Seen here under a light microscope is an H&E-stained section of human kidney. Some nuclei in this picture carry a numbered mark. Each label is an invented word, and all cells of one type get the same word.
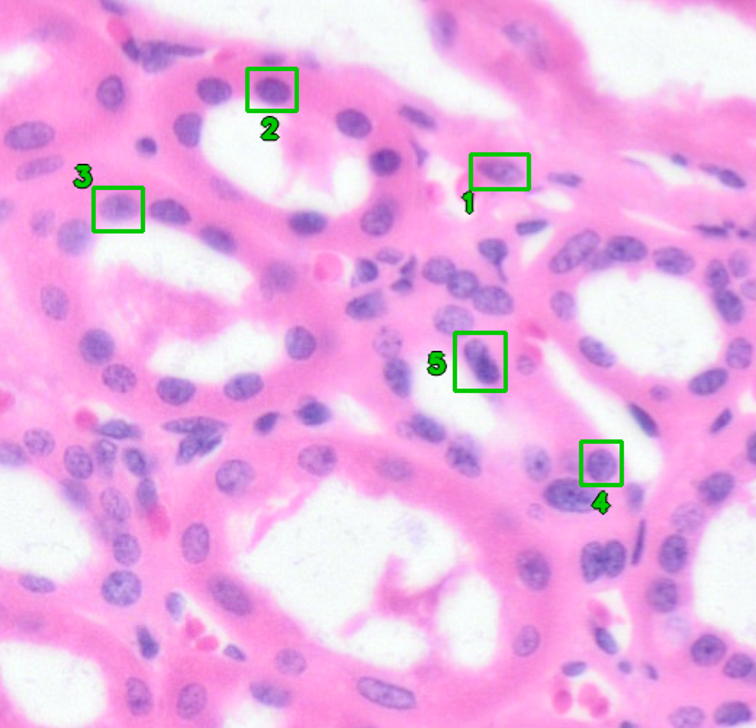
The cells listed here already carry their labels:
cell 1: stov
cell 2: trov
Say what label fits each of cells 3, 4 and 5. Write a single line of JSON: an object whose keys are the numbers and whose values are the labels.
{"3": "trov", "4": "stov", "5": "stov"}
